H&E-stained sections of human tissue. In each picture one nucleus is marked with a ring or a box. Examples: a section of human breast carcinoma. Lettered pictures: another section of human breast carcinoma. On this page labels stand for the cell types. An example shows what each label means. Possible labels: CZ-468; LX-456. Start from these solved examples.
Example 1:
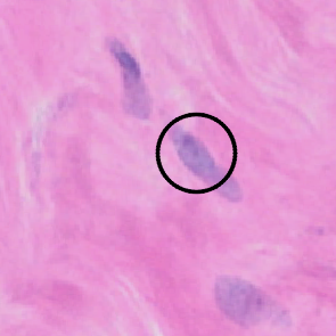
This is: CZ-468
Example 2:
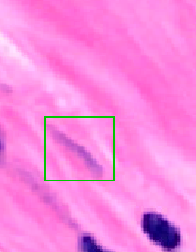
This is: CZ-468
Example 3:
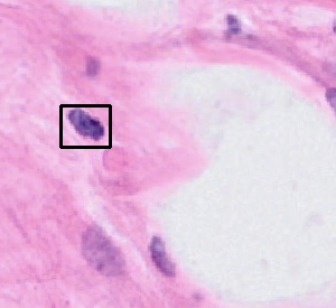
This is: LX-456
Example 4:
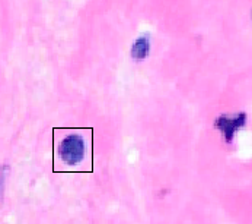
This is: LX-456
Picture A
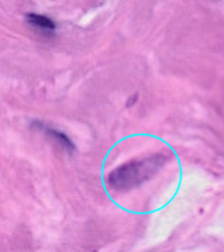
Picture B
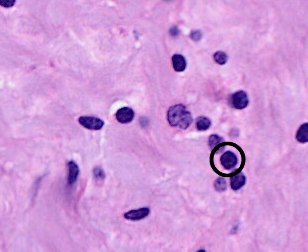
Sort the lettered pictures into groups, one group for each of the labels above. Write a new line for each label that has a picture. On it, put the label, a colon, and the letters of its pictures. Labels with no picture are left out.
CZ-468: A
LX-456: B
